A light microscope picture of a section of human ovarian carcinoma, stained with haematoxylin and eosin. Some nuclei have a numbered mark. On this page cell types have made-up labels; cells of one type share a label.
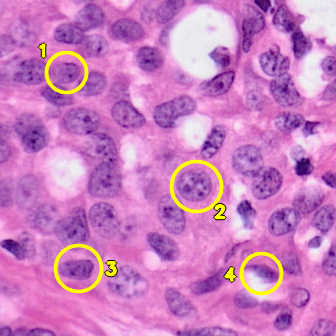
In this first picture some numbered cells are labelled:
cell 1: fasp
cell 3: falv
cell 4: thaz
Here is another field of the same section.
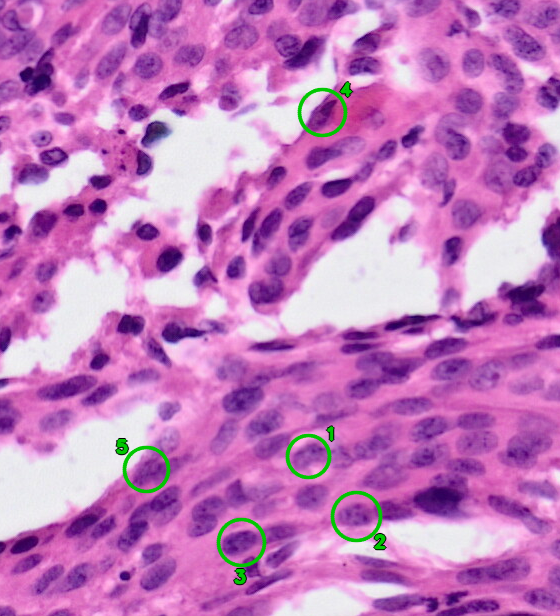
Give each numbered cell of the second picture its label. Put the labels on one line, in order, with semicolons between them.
falv; fasp; fasp; thaz; fasp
